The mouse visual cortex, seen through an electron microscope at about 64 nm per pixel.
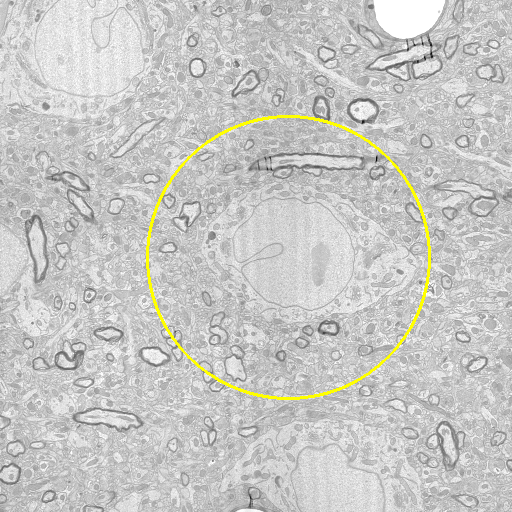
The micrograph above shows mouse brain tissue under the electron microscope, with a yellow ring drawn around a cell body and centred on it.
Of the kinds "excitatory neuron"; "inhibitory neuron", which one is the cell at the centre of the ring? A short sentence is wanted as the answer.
The one at the centre of the ring is an excitatory neuron.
